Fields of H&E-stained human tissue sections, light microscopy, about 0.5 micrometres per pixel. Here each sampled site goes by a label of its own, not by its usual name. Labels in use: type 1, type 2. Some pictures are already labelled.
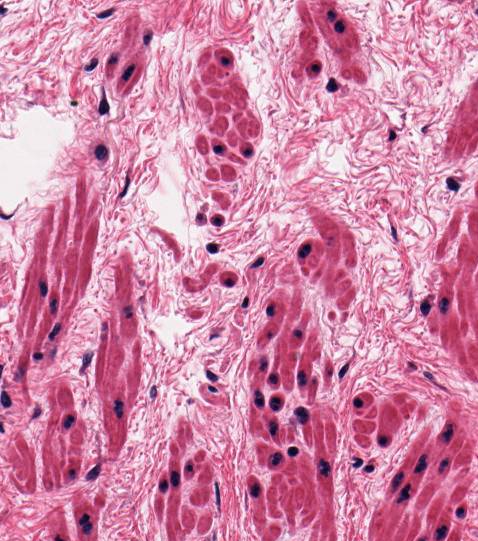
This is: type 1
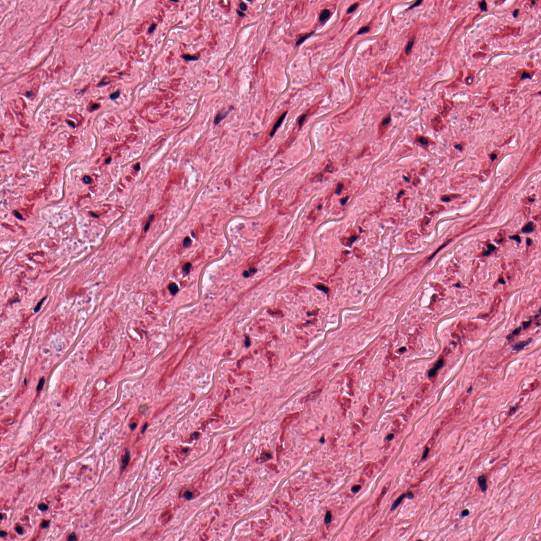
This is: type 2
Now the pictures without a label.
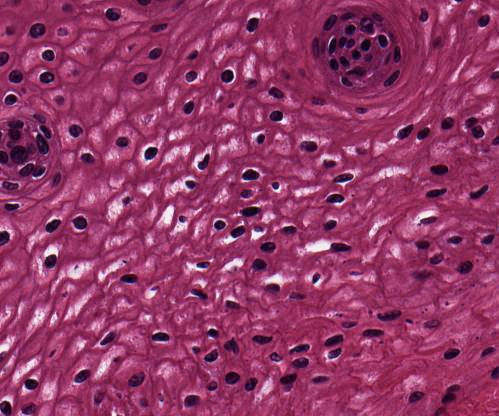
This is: type 1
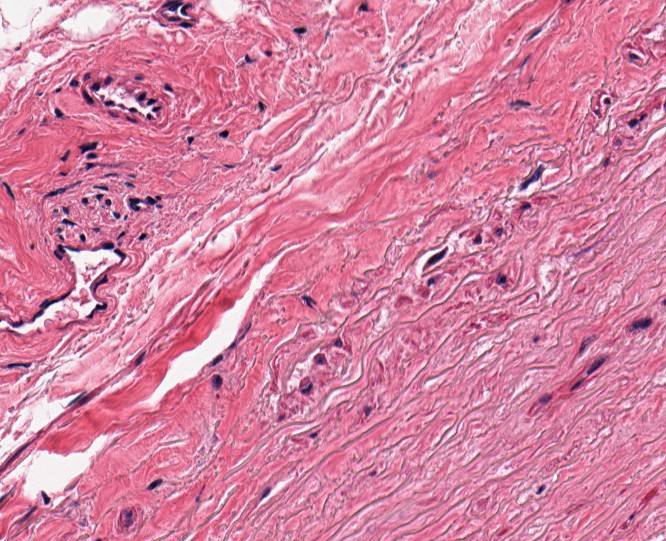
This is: type 2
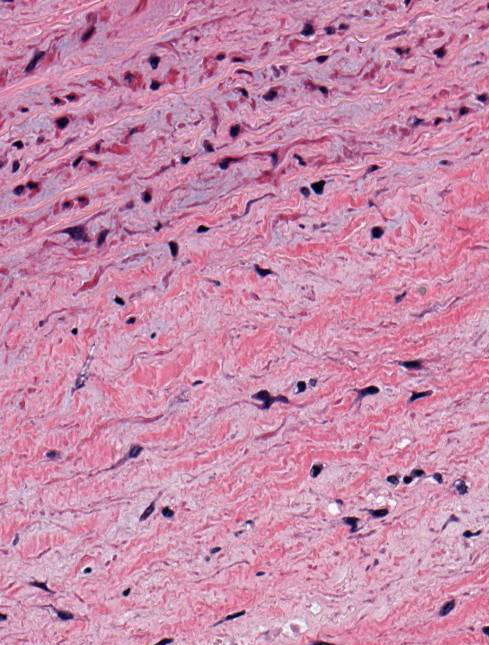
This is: type 2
